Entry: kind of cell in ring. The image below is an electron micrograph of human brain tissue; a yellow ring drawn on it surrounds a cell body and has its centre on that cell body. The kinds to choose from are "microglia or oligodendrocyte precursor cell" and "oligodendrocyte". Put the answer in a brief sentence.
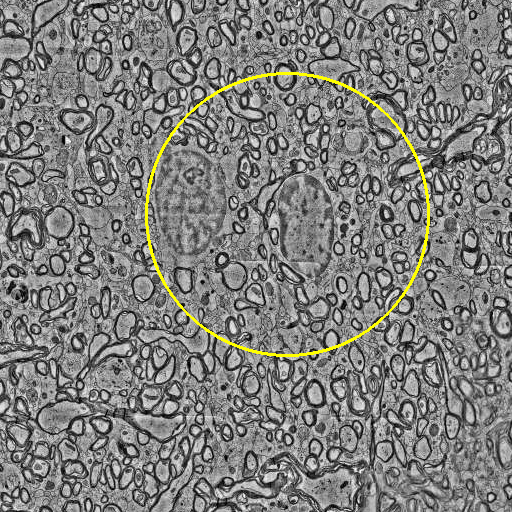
The ring has been drawn around a microglial cell or oligodendrocyte precursor cell.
